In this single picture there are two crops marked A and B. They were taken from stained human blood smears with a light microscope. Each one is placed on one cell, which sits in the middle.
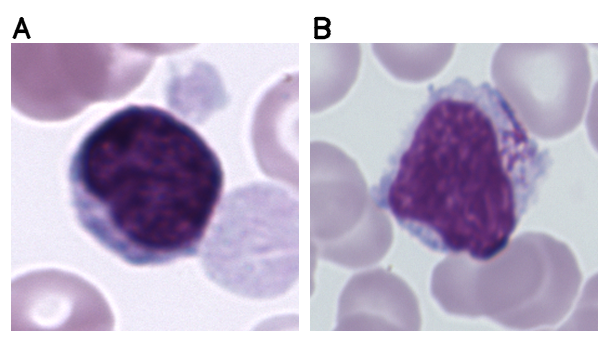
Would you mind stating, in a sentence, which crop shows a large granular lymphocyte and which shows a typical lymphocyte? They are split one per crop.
Within crop A sits a typical lymphocyte, and within crop B sits a large granular lymphocyte.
